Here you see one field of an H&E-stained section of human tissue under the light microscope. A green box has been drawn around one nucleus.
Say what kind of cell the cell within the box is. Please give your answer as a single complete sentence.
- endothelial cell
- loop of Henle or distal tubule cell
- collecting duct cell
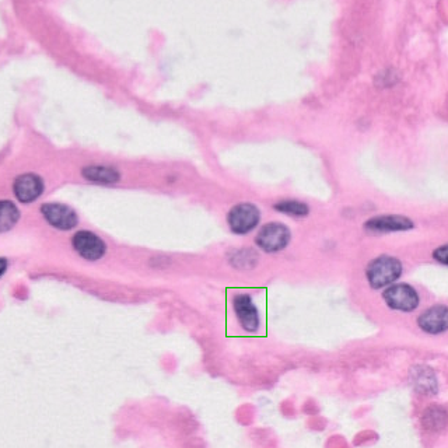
As to its cell type, the cell within the box is an endothelial cell.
